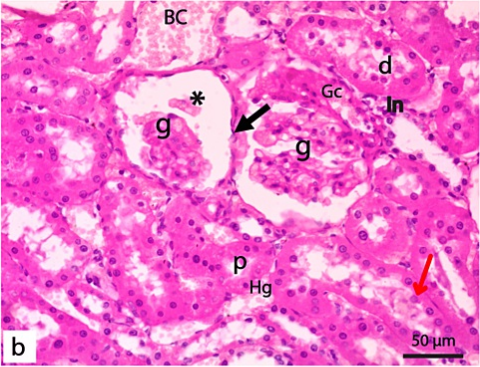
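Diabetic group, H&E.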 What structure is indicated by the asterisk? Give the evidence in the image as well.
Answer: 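The asterisk lies in a large clear space around a small shrunken capillary tuft. The space is much wider than the tuft's margin would normally leave. So: wide Bowman's space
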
